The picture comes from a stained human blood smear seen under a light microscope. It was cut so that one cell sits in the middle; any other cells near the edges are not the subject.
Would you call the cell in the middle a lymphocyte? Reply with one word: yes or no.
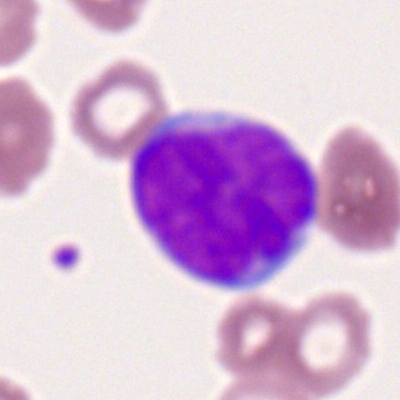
no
